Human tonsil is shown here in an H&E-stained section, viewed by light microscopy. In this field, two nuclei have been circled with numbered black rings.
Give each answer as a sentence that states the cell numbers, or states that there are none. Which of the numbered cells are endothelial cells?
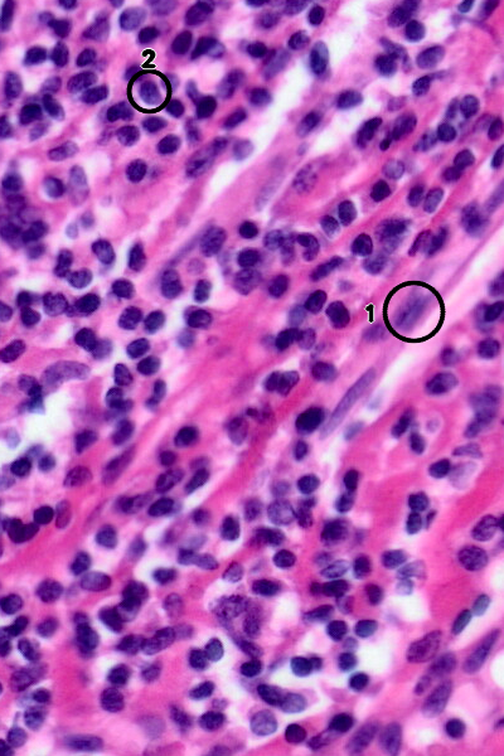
Only one of the numbered nuclei, number 1, belongs to an endothelial cell.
